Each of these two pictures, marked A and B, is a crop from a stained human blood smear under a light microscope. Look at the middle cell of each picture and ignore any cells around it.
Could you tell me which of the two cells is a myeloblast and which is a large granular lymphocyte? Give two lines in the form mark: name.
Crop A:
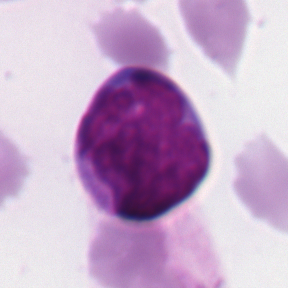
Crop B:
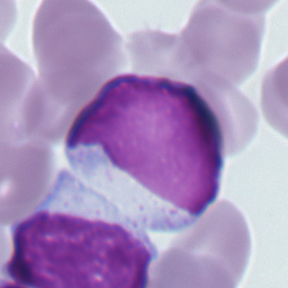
A: myeloblast
B: large granular lymphocyte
